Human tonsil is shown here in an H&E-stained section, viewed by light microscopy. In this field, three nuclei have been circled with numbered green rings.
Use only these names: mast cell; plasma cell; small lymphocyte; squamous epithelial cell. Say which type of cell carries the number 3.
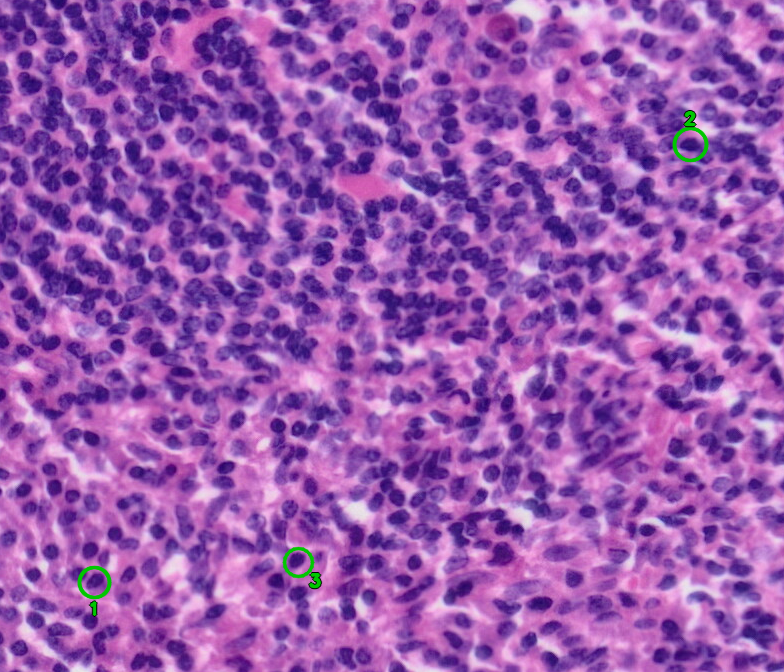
plasma cell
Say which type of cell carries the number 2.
small lymphocyte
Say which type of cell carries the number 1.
plasma cell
